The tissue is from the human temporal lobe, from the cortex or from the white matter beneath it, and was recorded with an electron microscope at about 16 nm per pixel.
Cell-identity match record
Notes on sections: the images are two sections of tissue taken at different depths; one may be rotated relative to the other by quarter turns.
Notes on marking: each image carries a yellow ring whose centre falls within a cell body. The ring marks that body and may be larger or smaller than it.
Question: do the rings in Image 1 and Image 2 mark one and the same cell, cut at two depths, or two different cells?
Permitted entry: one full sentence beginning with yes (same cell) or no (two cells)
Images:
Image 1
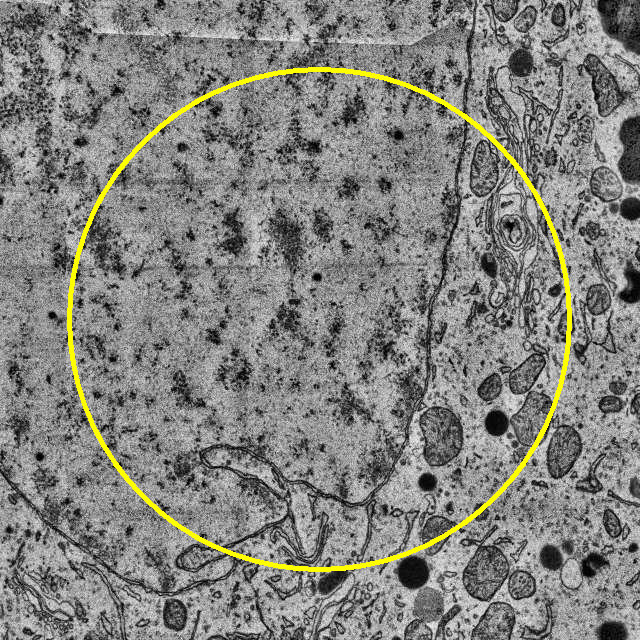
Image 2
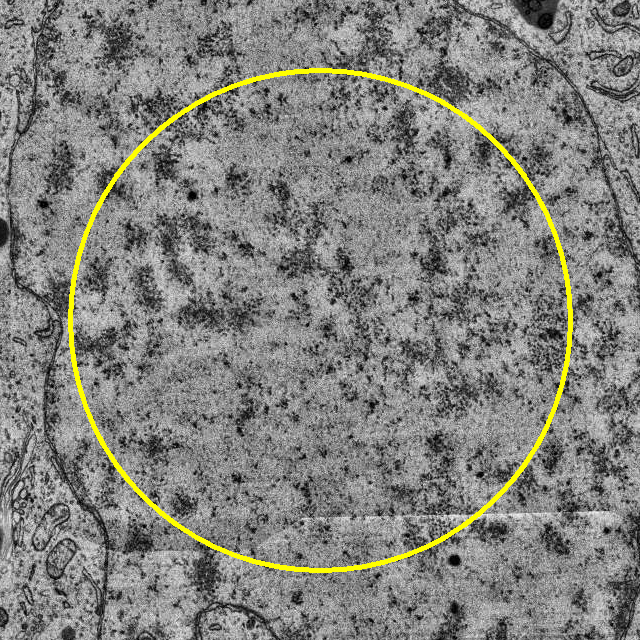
No, the cells within these rings are two separate cells.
